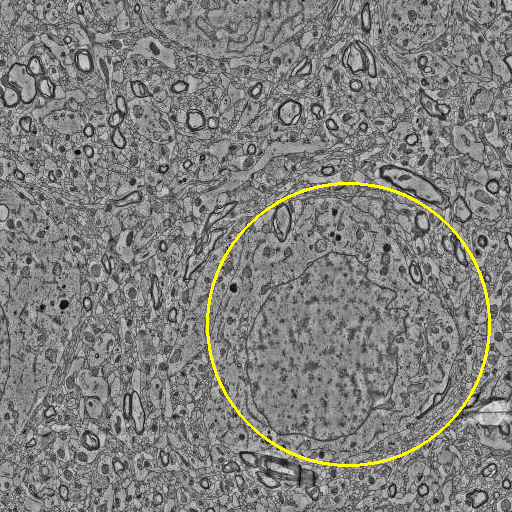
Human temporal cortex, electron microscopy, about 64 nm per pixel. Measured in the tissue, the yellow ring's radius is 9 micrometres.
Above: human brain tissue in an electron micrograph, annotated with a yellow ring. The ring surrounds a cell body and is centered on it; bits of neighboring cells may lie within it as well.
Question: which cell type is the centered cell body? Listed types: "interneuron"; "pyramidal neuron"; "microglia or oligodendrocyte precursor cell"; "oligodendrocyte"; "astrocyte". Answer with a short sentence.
The centered cell body is a pyramidal neuron.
